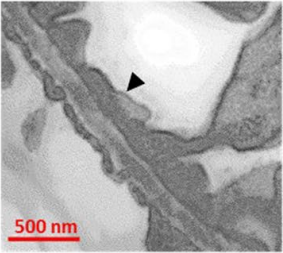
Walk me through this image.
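Podocyte processes along a glomerular capillary wall, seen by transmission electron microscopy, appearing widened and flattened. The electron-dense basement membrane runs diagonally across the field as a continuous band. On one side the processes form low, broad, dense segments pressed along the membrane, with few and irregular gaps between them, rather than a row of narrow, rounded processes. A pale, open space lies above the wall and another on the far side of it. An arrowhead points to one of the broad segments.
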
